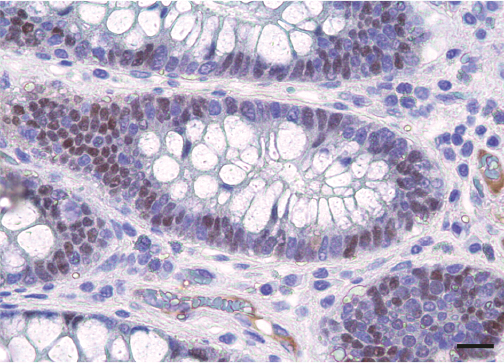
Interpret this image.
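Healthy colon mucosa with crypts cut in cross and oblique section, each lined by a single layer of columnar epithelium in which many pale, rounded mucin-filled cells alternate with cells whose dark oval nuclei sit at the base. The nuclei of the epithelium take a brownish-dark tone, and loose stroma with scattered small round nuclei lies between the crypts.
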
